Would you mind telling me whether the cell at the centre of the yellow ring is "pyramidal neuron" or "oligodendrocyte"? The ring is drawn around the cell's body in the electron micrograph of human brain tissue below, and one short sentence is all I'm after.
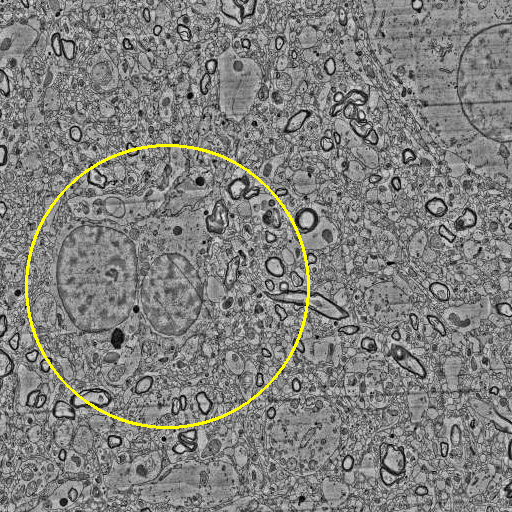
In the centre of the ring lies an oligodendrocyte.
